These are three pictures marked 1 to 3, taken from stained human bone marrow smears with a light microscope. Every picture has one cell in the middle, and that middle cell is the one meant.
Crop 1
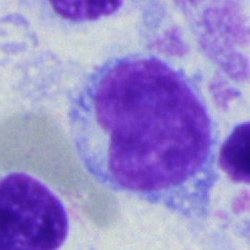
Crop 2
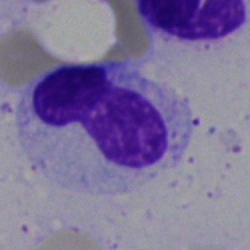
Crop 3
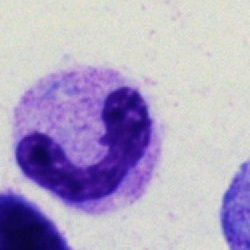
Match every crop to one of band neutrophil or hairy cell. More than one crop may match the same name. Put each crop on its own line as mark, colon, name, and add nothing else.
1: hairy cell
2: band neutrophil
3: band neutrophil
